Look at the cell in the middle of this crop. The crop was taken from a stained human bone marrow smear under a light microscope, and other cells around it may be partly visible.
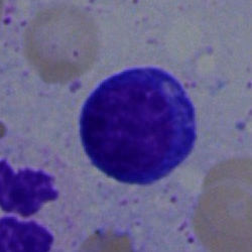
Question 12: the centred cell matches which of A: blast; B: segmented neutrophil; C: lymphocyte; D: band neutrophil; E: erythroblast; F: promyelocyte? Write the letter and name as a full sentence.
Here the central cell is a lymphocyte, and option C is correct.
